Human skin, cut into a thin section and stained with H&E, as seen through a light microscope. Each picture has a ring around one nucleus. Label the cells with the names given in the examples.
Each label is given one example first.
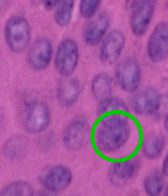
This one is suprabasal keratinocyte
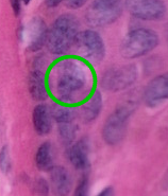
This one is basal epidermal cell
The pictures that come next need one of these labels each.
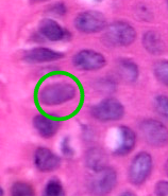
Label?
basal epidermal cell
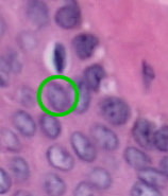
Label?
suprabasal keratinocyte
